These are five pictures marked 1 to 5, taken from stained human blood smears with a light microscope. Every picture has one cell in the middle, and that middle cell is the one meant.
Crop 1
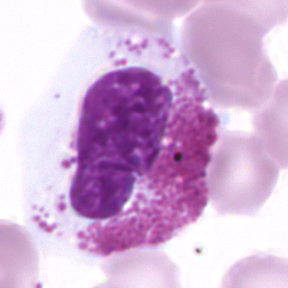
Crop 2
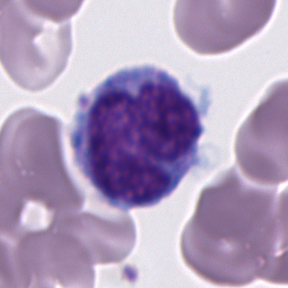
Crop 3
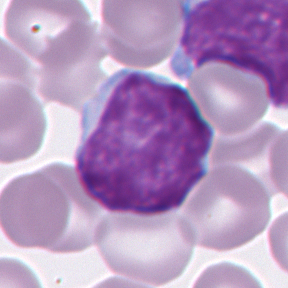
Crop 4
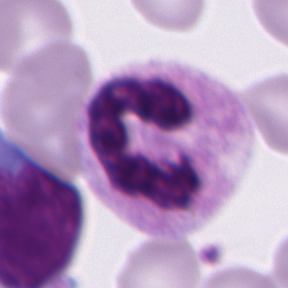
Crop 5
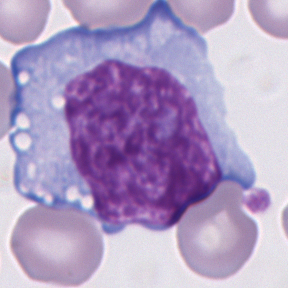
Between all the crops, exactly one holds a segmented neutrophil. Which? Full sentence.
The crop with a segmented neutrophil at its center is crop 4.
